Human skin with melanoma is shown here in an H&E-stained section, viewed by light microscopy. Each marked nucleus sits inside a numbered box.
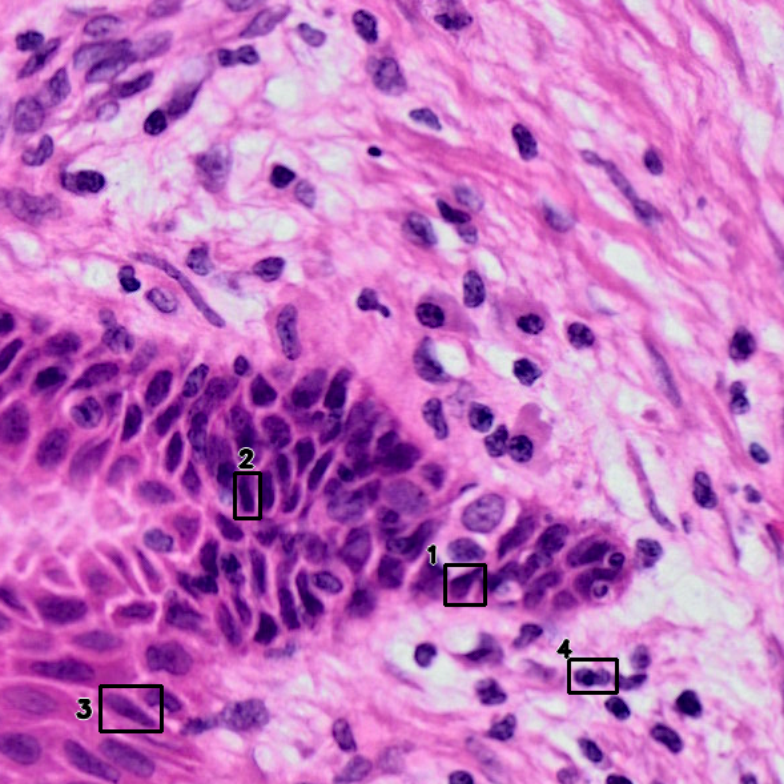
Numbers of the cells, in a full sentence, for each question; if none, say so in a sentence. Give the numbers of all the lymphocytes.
Unlike the other numbered cells, cell 4 is a lymphocyte.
